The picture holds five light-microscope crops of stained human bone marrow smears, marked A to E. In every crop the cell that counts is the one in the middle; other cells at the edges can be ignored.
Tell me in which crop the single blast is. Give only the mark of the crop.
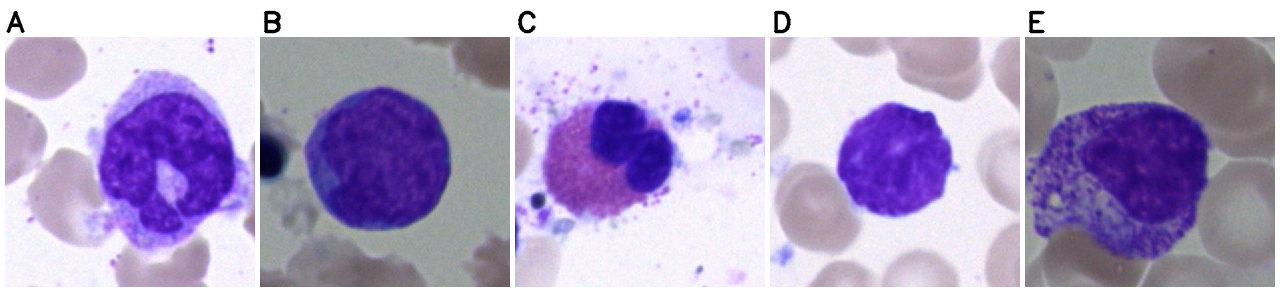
B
